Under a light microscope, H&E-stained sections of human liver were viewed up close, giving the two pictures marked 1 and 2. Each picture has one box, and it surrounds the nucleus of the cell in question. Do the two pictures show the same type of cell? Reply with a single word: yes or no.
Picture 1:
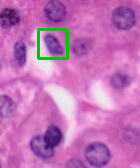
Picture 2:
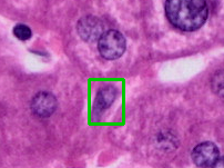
yes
